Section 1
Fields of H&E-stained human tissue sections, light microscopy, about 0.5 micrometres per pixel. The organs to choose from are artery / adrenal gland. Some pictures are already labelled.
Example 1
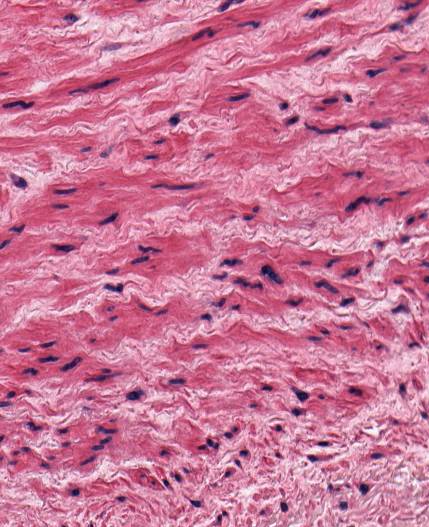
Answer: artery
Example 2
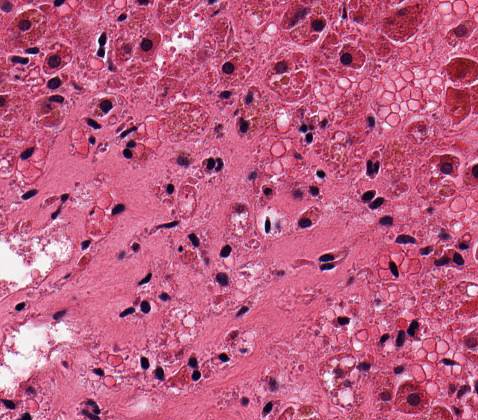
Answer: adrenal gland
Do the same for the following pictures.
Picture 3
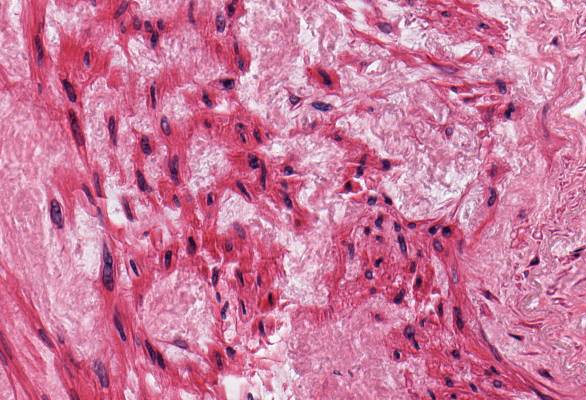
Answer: artery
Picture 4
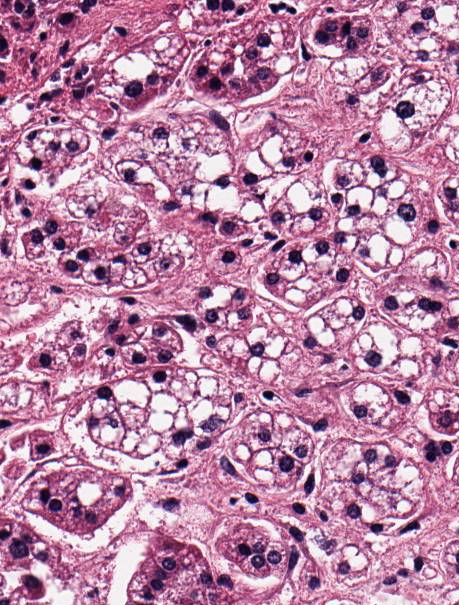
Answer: adrenal gland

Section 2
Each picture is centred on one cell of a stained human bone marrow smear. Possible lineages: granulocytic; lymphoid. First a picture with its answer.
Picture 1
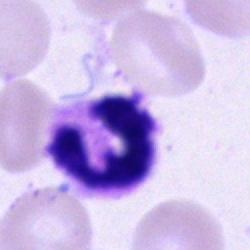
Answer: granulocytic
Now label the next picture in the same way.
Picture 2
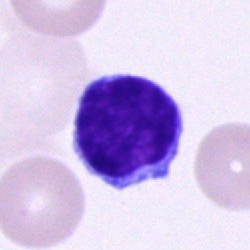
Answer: lymphoid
